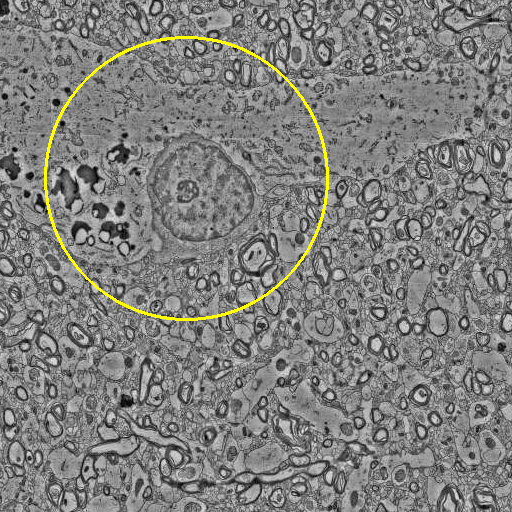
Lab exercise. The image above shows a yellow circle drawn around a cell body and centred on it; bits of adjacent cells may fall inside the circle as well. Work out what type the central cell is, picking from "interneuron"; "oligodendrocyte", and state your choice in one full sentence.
In the image above, the cell at the centre of the yellow circle is an oligodendrocyte.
